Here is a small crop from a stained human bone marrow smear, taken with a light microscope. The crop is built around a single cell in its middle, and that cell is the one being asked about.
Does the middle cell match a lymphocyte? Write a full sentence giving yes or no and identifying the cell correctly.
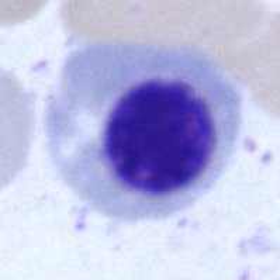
No, the central cell is an erythroblast, not a lymphocyte.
